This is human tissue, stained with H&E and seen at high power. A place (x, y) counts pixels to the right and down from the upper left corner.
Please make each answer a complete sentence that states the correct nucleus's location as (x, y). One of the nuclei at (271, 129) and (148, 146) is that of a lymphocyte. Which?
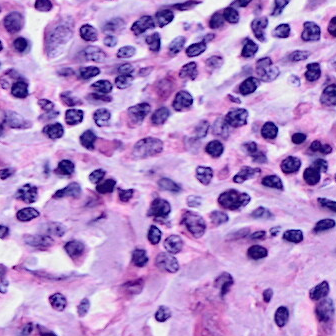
The nucleus at (271, 129), rather than the other, belongs to a lymphocyte.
